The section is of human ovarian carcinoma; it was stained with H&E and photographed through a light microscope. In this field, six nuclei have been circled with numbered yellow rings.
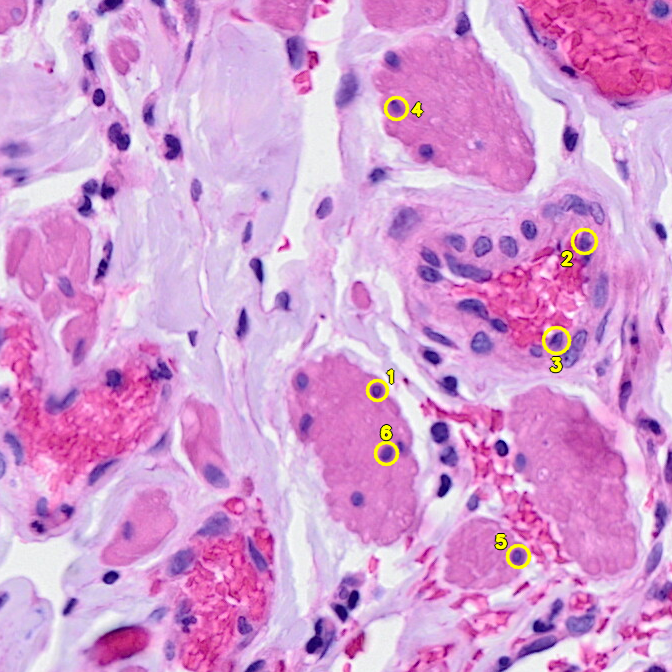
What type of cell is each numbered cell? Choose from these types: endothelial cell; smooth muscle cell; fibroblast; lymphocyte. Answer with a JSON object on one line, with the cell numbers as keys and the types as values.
{"1": "smooth muscle cell", "2": "endothelial cell", "3": "endothelial cell", "4": "smooth muscle cell", "5": "smooth muscle cell", "6": "smooth muscle cell"}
